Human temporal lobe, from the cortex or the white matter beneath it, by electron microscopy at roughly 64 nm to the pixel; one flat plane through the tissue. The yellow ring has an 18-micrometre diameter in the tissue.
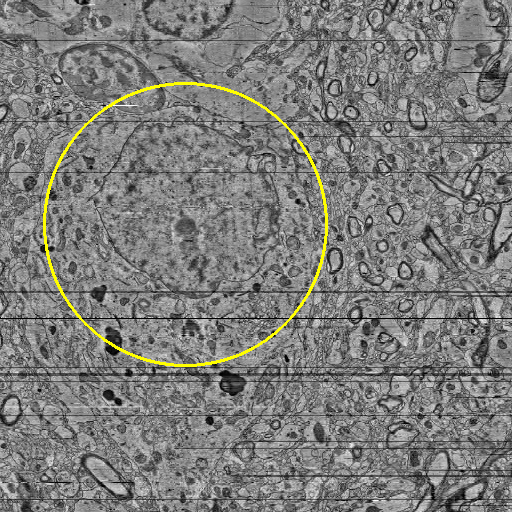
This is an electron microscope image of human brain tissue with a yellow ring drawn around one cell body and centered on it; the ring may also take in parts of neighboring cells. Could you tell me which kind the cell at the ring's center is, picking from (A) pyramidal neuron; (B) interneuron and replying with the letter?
B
